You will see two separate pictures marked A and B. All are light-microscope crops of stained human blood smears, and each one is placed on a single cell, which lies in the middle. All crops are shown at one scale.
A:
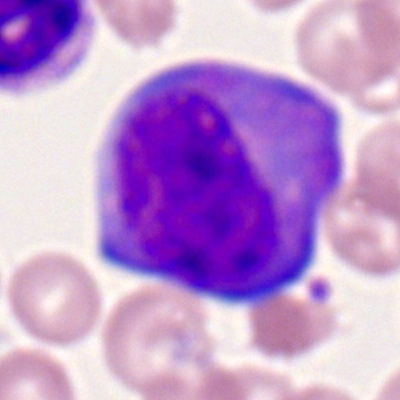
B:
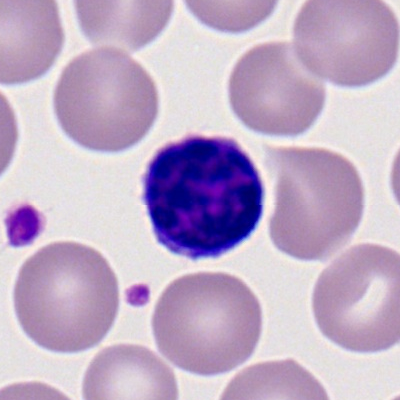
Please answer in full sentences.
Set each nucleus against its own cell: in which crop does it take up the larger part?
In crop B the nucleus takes up the larger part of its cell.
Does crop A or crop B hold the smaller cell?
Crop B holds the smaller cell, since the cell in crop A covers about 4 times as much area.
